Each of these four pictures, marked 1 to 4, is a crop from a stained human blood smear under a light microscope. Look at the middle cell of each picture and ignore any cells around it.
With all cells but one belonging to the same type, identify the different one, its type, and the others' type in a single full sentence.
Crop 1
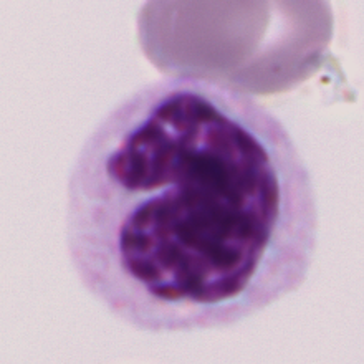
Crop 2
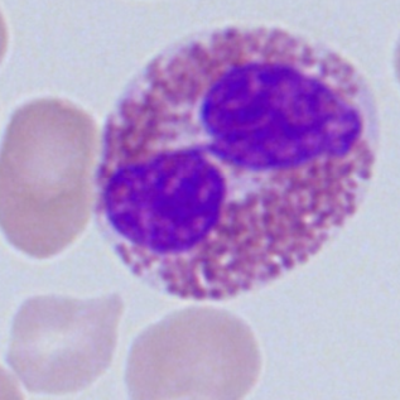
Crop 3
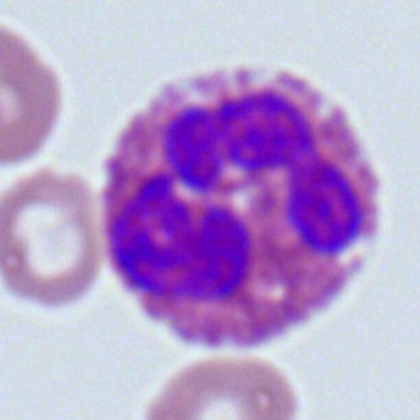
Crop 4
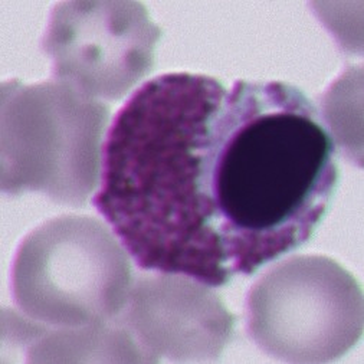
The odd one out is crop 1, a band neutrophil, and all other crops show eosinophils.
